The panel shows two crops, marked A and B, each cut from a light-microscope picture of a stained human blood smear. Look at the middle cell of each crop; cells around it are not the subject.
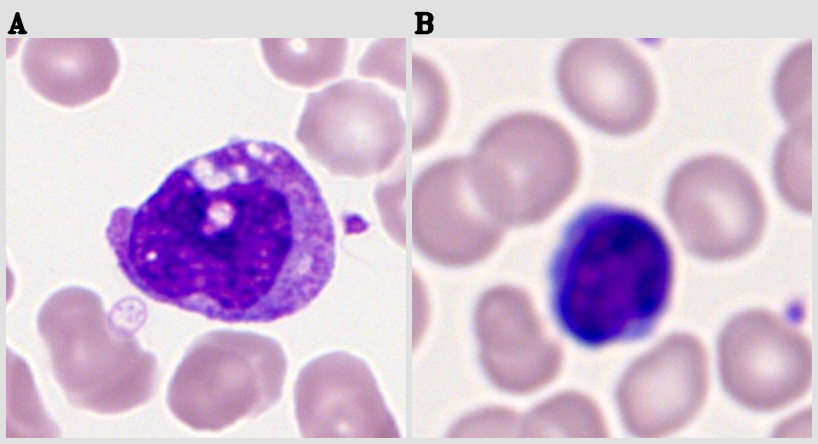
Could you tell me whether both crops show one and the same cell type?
no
